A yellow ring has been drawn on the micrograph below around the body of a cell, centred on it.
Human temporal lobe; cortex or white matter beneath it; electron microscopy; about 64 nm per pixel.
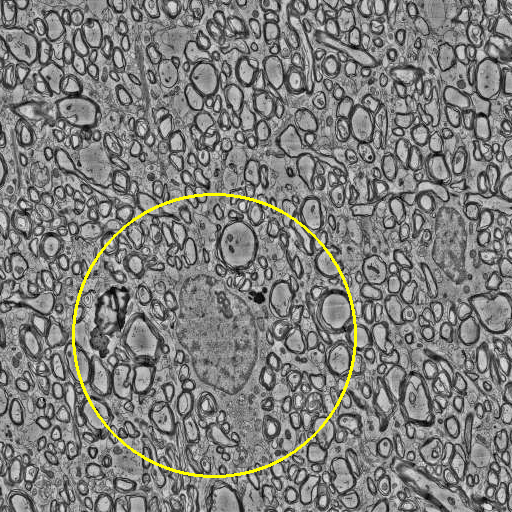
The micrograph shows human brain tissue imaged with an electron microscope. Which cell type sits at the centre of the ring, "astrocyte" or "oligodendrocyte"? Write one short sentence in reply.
The cell sitting at the centre of the ring is an oligodendrocyte.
